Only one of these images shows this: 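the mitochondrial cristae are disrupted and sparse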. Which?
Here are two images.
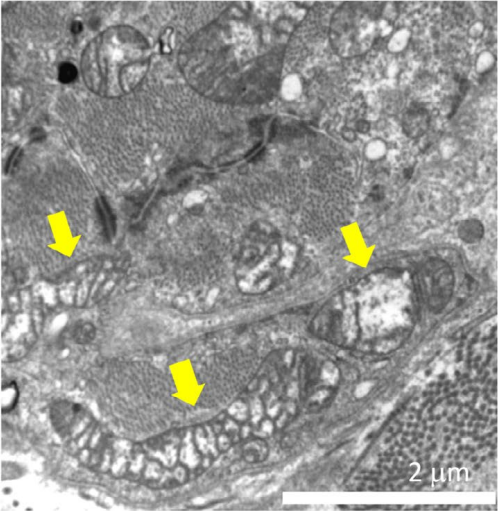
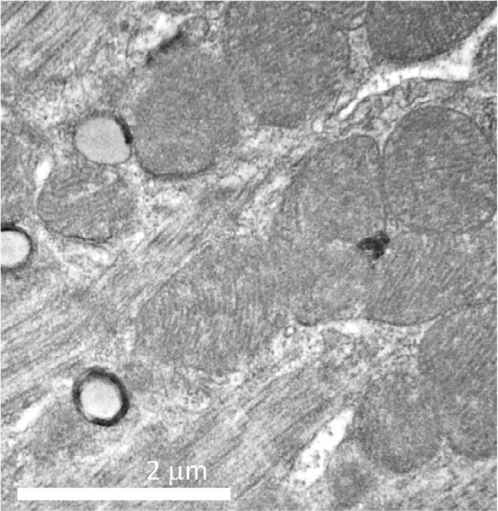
the first image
